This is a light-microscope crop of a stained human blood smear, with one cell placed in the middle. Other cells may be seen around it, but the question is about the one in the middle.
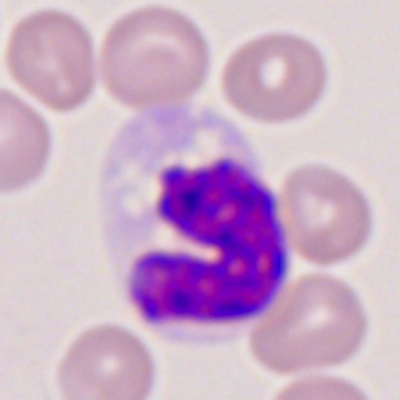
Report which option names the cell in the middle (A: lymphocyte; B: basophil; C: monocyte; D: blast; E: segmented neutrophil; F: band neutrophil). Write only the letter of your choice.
C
